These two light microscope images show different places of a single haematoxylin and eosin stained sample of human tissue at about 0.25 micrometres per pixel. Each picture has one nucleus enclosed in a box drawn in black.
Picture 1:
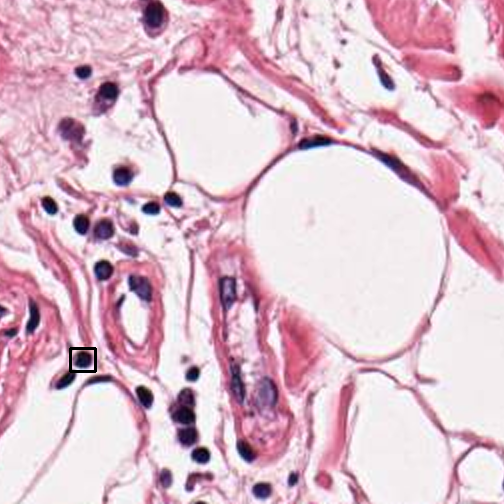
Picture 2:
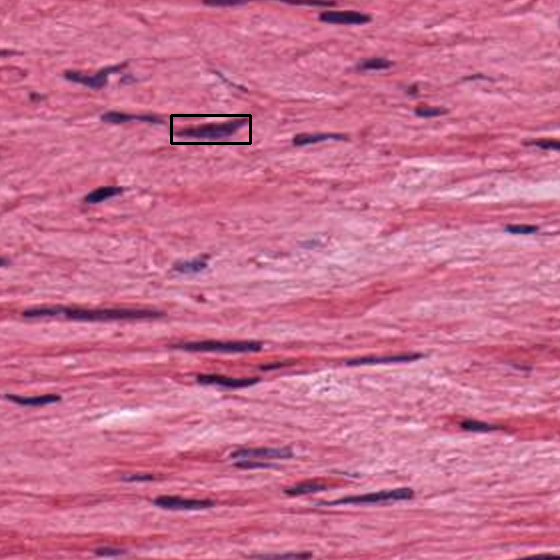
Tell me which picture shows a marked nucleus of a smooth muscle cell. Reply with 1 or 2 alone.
2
